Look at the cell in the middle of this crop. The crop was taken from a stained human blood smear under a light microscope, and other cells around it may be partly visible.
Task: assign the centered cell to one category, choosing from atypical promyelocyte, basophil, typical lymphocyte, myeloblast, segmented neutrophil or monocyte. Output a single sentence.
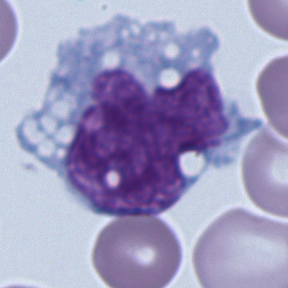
At the crop's centre, the cell is a monocyte.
